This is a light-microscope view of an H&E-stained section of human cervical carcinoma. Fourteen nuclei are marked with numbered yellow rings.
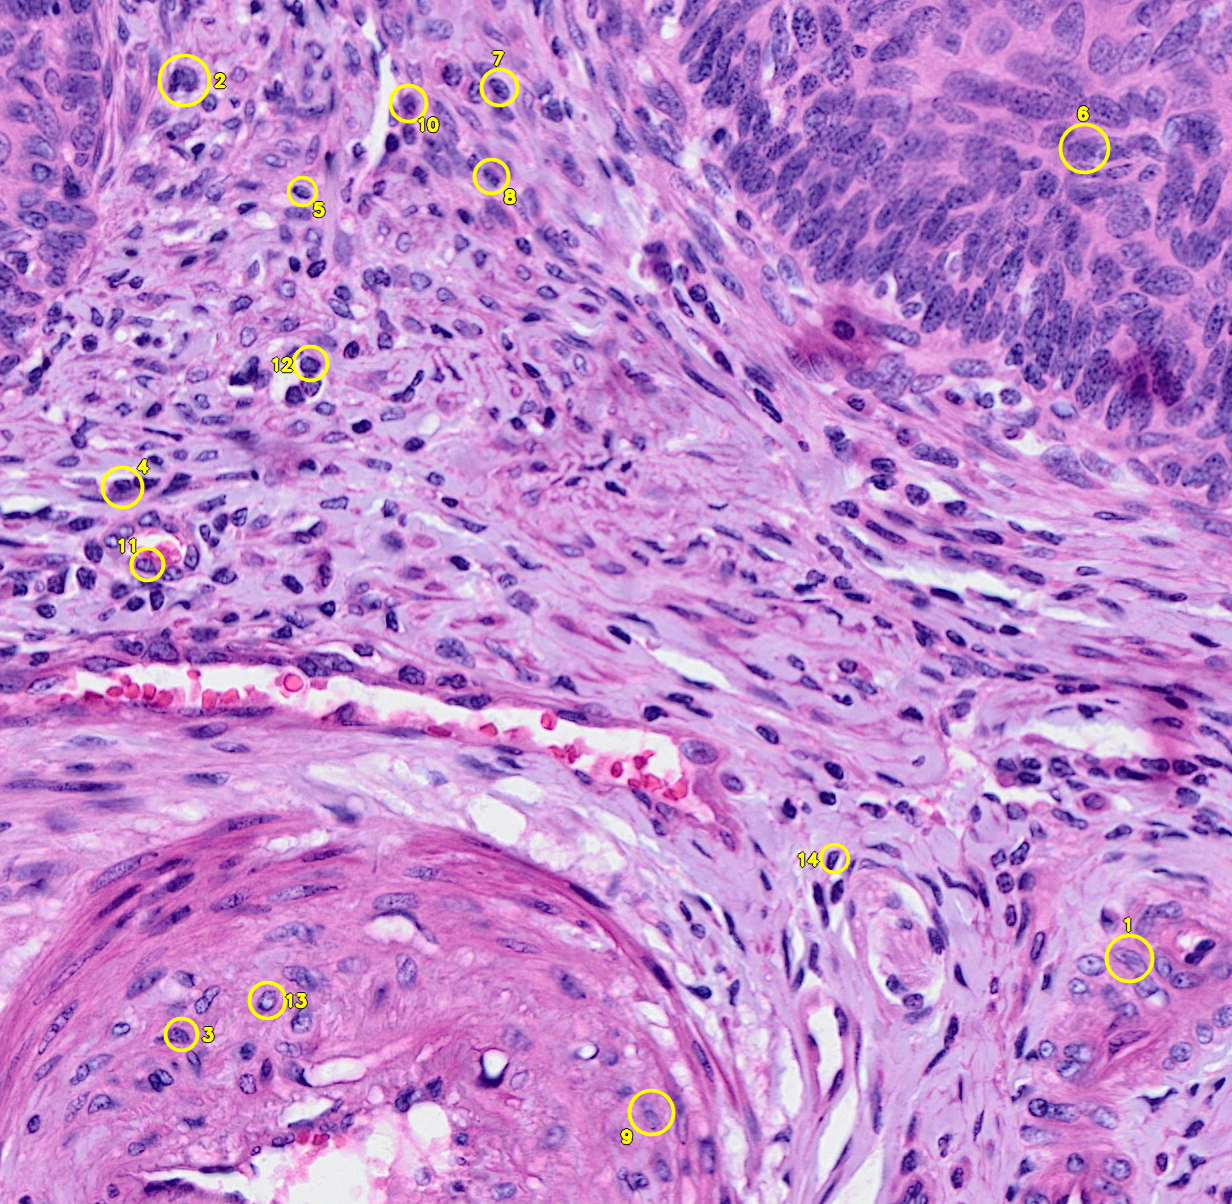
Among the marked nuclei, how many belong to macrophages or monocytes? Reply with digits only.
0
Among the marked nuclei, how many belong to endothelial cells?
1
